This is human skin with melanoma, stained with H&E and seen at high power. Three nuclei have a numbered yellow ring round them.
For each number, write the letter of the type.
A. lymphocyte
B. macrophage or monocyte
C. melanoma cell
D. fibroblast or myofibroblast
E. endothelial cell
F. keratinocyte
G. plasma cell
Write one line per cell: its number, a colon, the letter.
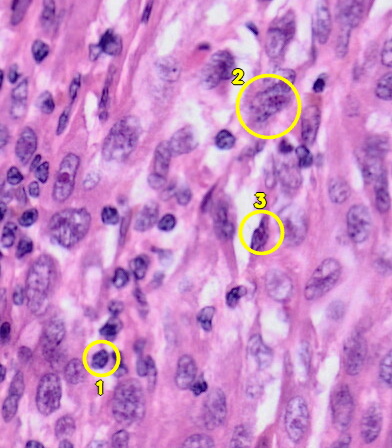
1: A
2: C
3: C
